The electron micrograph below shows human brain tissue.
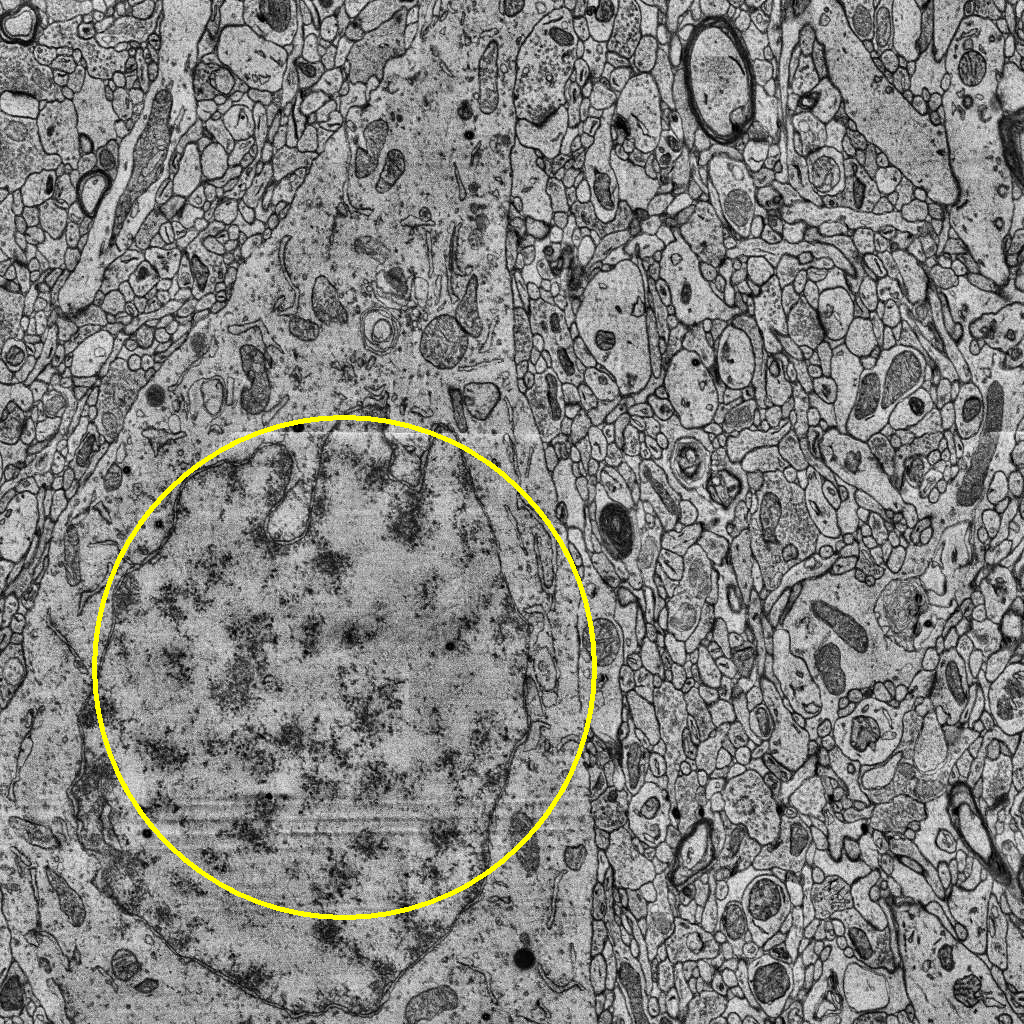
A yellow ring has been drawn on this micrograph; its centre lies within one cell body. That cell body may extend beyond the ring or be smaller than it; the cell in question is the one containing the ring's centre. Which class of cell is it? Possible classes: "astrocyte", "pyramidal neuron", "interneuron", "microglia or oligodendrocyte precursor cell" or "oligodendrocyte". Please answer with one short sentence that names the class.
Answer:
In the centre of the ring sits an interneuron.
